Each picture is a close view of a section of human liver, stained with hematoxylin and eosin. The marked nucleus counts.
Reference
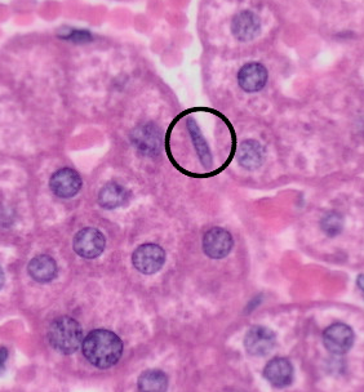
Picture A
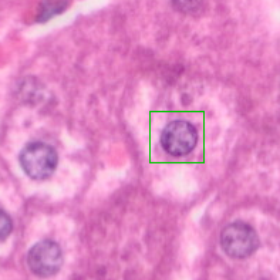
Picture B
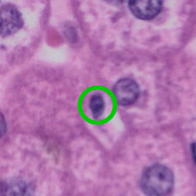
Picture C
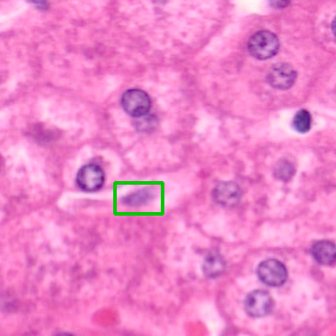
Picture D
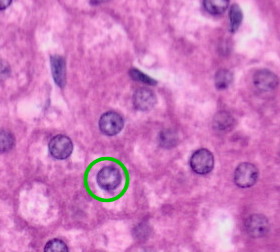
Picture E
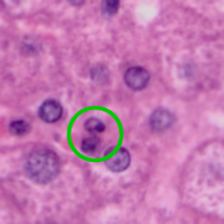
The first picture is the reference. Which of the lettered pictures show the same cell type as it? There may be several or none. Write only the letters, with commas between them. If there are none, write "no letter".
C, E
